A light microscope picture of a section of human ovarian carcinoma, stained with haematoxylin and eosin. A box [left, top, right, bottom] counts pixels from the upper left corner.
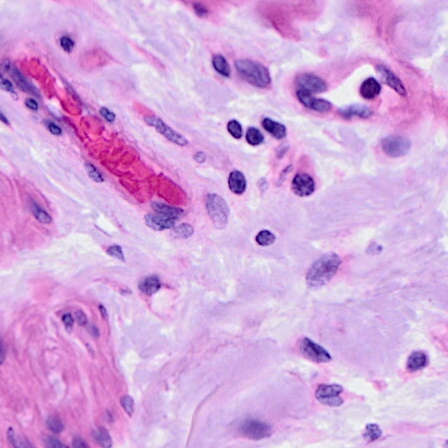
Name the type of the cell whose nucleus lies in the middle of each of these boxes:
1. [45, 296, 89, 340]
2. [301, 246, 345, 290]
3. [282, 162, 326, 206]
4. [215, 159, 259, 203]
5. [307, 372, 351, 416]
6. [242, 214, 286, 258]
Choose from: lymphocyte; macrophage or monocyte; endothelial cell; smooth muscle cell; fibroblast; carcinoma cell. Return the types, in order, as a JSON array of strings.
["smooth muscle cell", "fibroblast", "lymphocyte", "lymphocyte", "macrophage or monocyte", "lymphocyte"]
